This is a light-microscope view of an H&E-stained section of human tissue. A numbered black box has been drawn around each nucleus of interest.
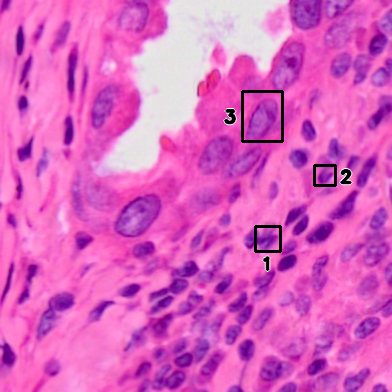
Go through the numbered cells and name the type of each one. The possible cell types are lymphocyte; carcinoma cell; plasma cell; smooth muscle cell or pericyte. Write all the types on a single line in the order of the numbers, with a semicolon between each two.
lymphocyte; plasma cell; carcinoma cell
